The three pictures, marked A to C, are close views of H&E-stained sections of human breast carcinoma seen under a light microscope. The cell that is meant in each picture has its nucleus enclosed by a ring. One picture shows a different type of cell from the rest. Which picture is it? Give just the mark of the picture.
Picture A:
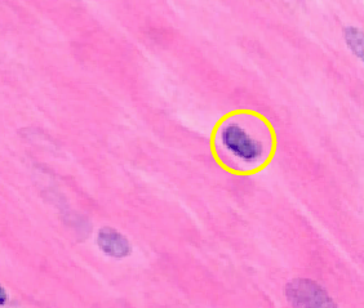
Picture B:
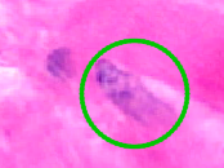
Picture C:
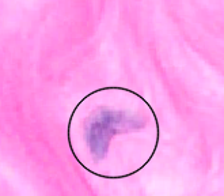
A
